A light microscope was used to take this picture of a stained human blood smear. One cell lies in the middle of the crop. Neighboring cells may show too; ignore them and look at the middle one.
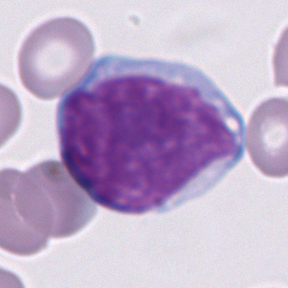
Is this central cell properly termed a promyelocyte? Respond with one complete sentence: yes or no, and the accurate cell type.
No, the cell of interest here is a blast and not a promyelocyte.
